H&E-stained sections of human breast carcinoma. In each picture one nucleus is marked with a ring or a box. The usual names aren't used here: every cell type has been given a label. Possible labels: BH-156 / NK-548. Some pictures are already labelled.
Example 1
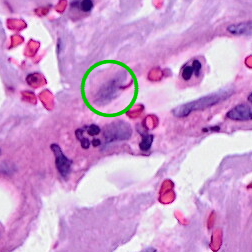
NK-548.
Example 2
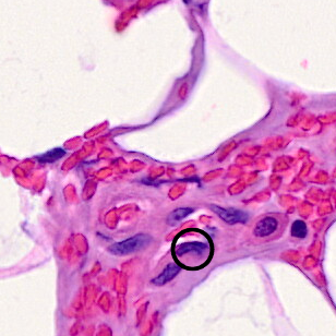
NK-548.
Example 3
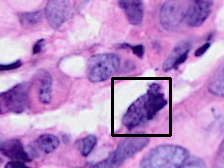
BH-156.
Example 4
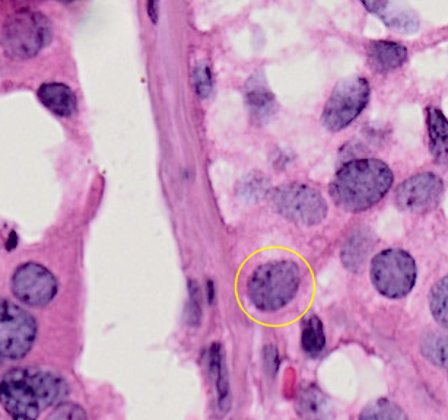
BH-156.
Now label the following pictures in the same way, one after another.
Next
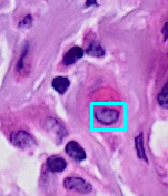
NK-548.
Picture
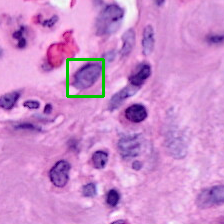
NK-548.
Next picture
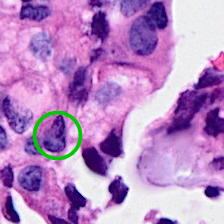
BH-156.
